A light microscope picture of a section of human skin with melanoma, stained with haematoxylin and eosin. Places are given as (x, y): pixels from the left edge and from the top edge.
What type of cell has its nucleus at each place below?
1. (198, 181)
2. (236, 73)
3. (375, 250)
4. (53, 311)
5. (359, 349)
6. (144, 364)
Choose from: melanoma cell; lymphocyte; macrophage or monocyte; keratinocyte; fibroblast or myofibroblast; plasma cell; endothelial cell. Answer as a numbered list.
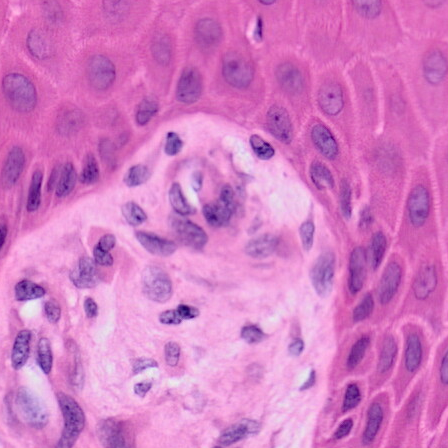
1. endothelial cell
2. keratinocyte
3. keratinocyte
4. endothelial cell
5. keratinocyte
6. fibroblast or myofibroblast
